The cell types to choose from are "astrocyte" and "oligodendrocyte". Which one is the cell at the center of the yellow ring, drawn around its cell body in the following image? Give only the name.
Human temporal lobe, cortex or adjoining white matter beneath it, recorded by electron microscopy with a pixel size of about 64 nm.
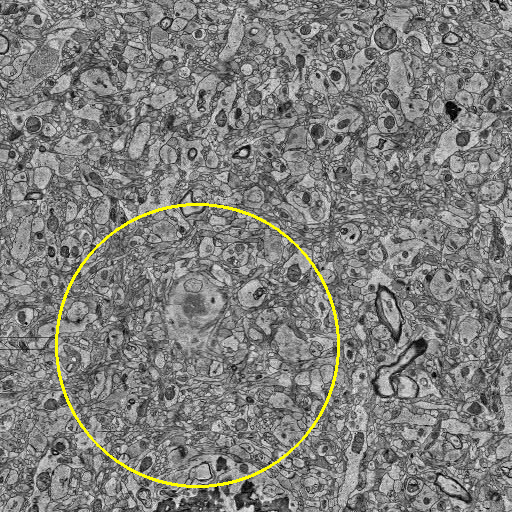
oligodendrocyte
